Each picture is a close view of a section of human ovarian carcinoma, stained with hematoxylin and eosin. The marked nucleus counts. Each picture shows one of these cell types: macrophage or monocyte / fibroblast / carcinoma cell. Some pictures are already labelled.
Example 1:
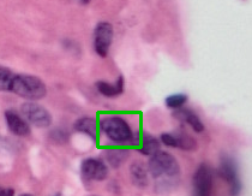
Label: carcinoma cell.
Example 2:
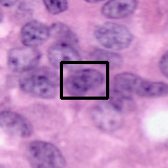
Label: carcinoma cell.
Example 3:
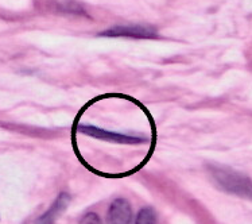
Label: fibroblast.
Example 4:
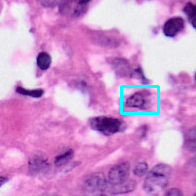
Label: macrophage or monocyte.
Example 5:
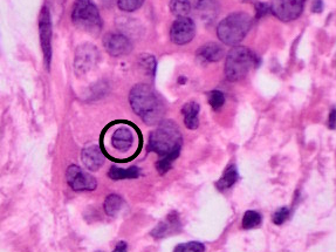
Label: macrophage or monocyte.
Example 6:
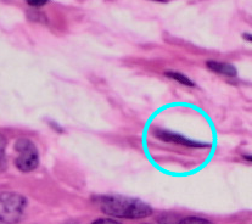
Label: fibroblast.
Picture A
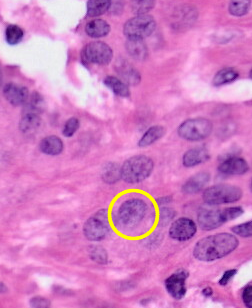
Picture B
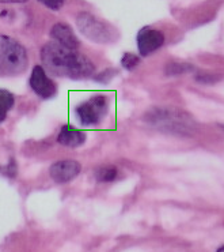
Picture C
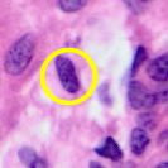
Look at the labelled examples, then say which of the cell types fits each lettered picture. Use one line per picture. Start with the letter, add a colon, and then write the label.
A: carcinoma cell.
B: carcinoma cell.
C: macrophage or monocyte.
